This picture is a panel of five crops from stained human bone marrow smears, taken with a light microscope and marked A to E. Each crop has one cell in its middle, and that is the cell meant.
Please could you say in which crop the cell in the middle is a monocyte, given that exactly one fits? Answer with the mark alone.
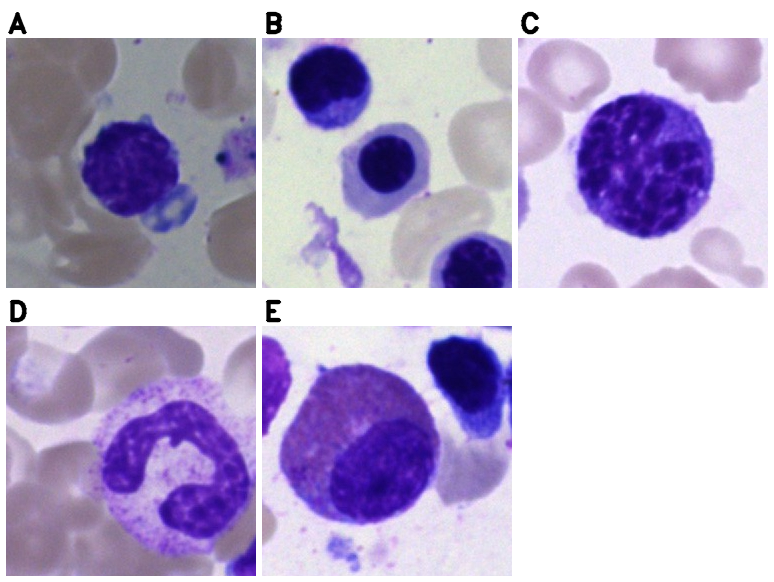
C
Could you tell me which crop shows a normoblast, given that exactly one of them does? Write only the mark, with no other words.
B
